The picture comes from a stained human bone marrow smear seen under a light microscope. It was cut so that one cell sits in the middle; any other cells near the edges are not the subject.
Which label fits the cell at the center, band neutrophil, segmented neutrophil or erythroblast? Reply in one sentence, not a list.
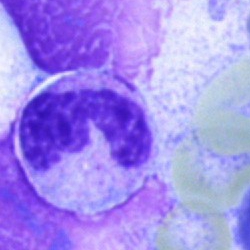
The central cell shown in this smear crop is a segmented neutrophil.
